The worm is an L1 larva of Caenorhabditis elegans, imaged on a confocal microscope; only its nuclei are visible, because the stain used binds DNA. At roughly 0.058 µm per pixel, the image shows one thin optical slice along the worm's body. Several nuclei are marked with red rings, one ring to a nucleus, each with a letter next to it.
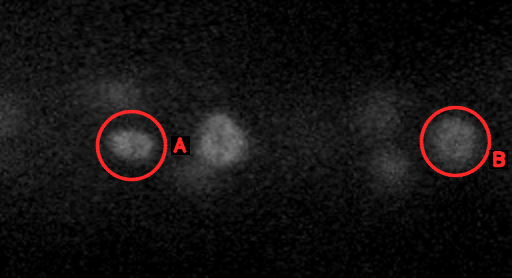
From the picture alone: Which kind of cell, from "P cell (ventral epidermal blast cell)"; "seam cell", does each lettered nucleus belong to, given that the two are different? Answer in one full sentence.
A is the nucleus of a P cell (ventral epidermal blast cell); B is the nucleus of a seam cell.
